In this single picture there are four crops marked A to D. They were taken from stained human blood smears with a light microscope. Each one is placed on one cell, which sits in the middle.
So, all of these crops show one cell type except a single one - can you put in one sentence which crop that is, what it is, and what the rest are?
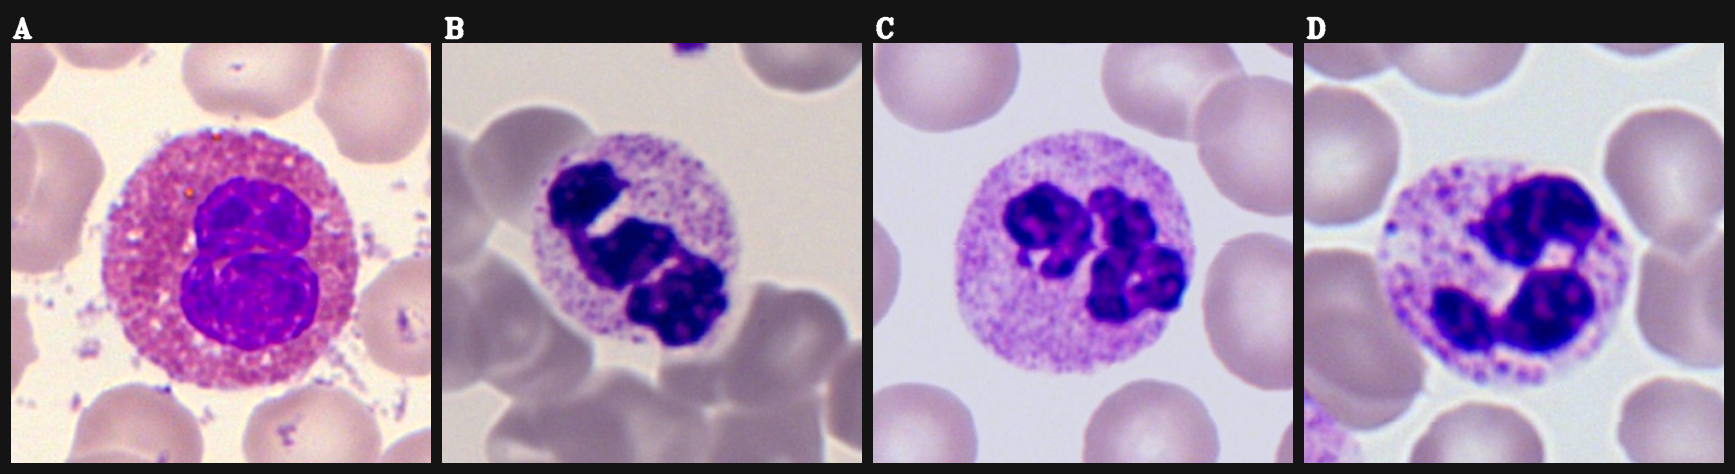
The remaining crops are all segmented neutrophils, so crop A, being an eosinophil, is the exception.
